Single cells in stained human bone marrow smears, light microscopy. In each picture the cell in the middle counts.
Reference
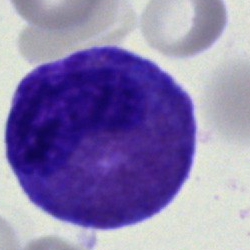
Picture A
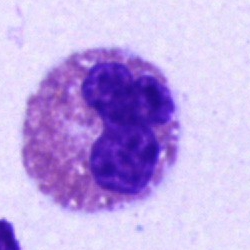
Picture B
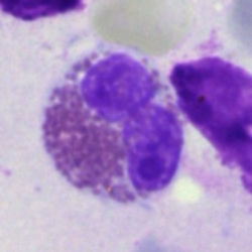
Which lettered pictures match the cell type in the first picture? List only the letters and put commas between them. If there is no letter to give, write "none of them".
A, B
